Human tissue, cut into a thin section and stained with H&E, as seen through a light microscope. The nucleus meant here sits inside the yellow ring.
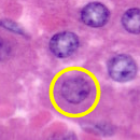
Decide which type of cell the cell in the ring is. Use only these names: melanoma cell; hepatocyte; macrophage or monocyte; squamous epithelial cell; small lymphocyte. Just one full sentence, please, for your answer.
Cytologically, the cell in the ring is to be regarded as a hepatocyte.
